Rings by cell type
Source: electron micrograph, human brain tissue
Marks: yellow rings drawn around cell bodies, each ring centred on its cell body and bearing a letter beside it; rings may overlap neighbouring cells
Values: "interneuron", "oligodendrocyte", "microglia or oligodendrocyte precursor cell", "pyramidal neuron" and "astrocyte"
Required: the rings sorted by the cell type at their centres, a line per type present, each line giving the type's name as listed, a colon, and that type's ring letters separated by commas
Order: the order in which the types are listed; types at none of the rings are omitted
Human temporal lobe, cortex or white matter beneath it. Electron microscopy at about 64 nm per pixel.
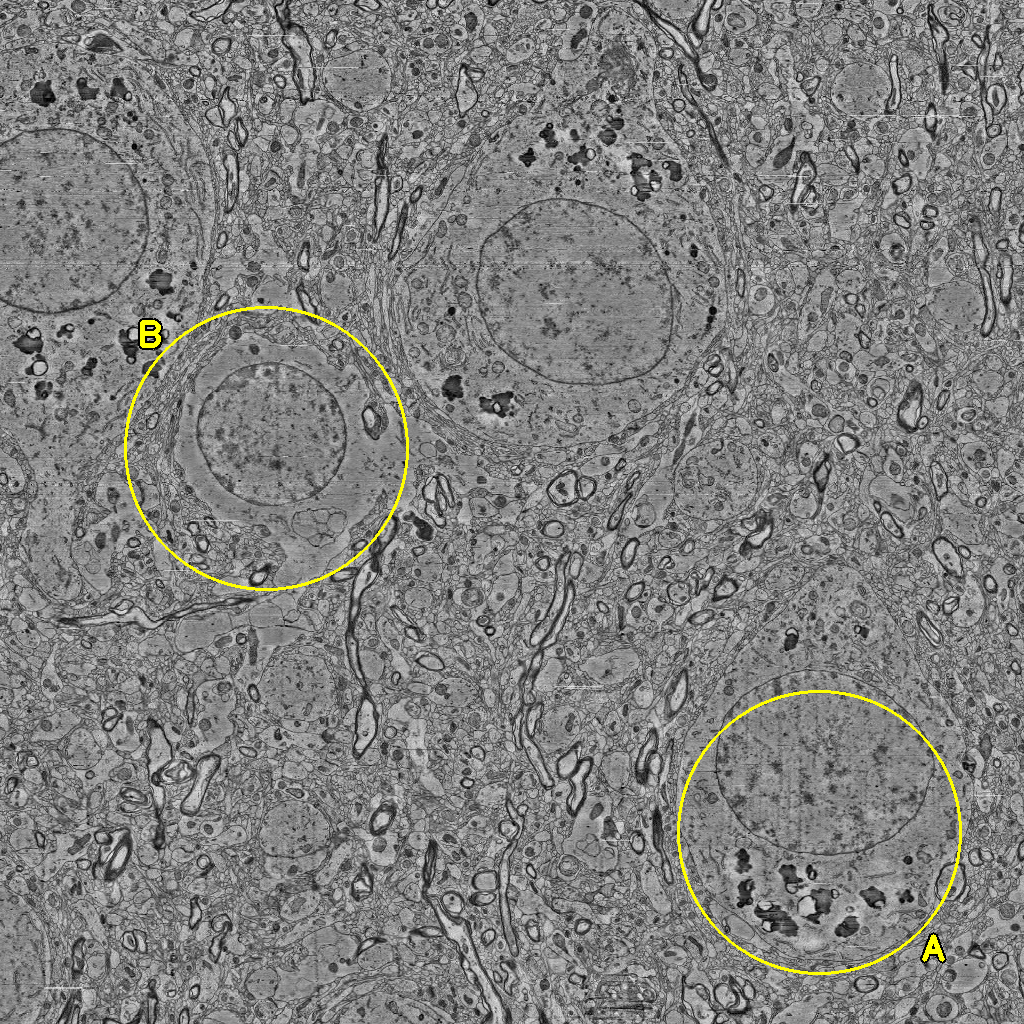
pyramidal neuron: A
astrocyte: B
